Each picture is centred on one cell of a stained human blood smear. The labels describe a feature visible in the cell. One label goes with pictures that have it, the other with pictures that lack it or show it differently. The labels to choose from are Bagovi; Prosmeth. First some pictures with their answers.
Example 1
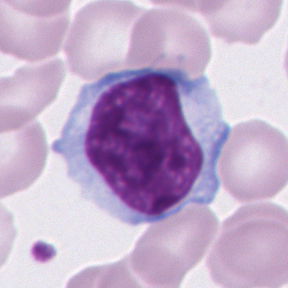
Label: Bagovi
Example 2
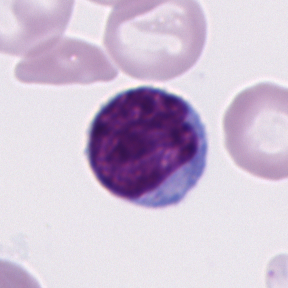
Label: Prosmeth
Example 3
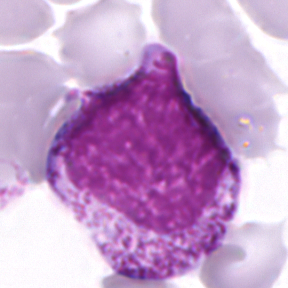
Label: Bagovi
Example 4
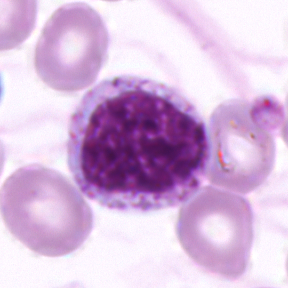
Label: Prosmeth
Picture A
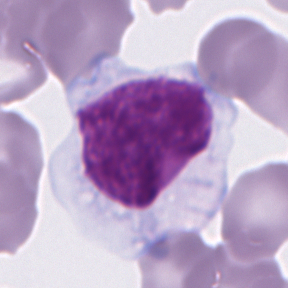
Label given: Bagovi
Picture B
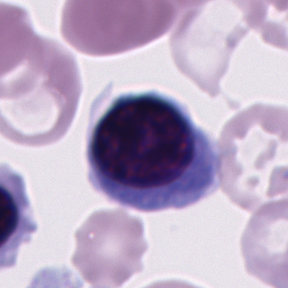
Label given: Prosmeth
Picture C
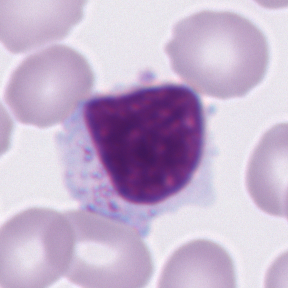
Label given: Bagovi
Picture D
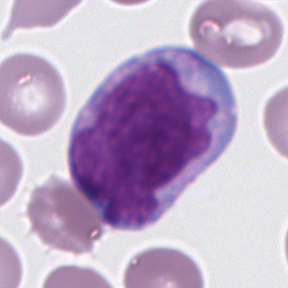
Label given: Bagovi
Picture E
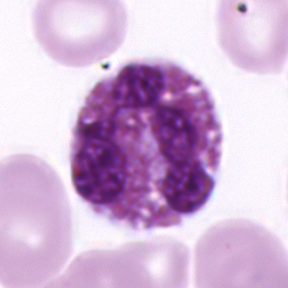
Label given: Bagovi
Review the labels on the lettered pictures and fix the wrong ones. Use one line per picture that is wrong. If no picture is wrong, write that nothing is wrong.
D: change Bagovi to Prosmeth
E: change Bagovi to Prosmeth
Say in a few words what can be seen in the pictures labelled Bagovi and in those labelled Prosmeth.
Bagovi: ragged outline or projections; Prosmeth: smooth outline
